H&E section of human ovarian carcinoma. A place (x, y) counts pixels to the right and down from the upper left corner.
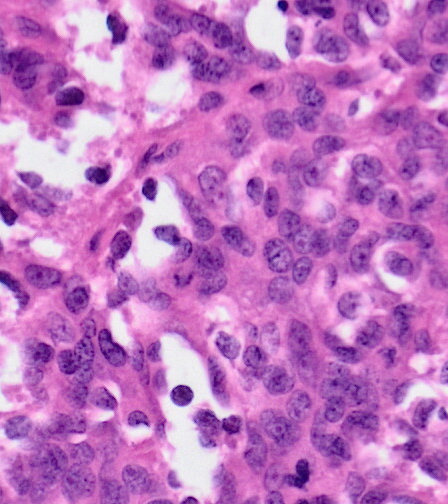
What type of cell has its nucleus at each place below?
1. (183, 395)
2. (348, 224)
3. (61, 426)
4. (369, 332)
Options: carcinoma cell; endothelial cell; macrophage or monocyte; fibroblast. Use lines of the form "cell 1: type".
cell 1: carcinoma cell
cell 2: macrophage or monocyte
cell 3: carcinoma cell
cell 4: carcinoma cell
